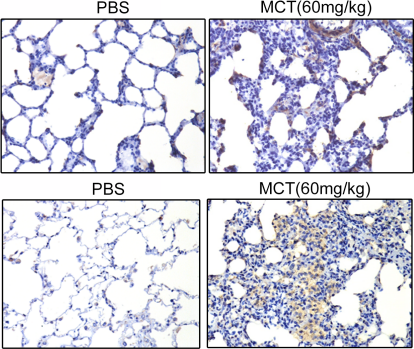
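Lung tissue with many open, thin-walled alveolar spaces separated by narrow septa containing small dark nuclei. In the right-hand images of these rows, the septa appear thicker and more crowded with nuclei. The brown staining is more extensive there, forming a larger patch in the bottom-right image.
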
